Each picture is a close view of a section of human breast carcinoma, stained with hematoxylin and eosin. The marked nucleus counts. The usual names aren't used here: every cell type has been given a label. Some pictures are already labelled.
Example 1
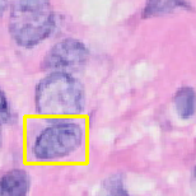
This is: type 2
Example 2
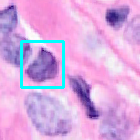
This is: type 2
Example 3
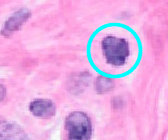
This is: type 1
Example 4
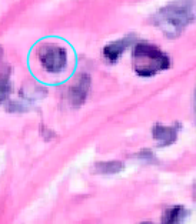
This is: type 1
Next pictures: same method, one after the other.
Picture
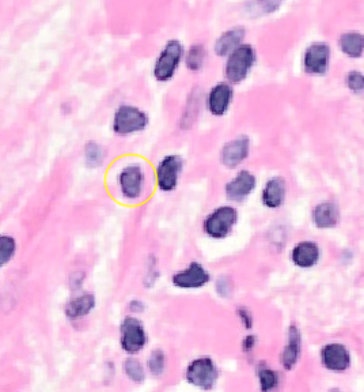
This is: type 1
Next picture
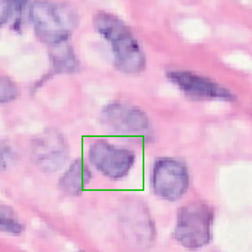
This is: type 2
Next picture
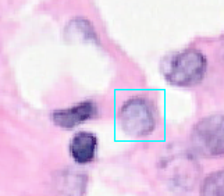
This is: type 2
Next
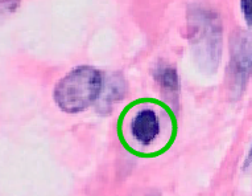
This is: type 1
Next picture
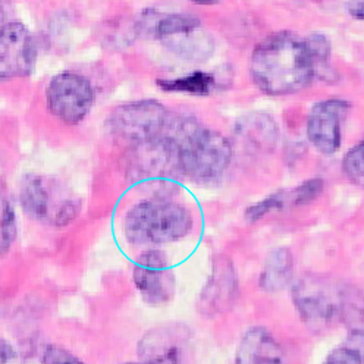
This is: type 2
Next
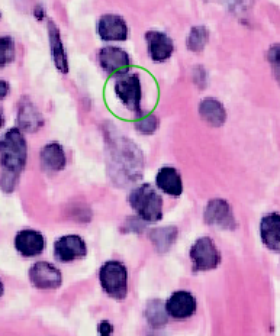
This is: type 1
